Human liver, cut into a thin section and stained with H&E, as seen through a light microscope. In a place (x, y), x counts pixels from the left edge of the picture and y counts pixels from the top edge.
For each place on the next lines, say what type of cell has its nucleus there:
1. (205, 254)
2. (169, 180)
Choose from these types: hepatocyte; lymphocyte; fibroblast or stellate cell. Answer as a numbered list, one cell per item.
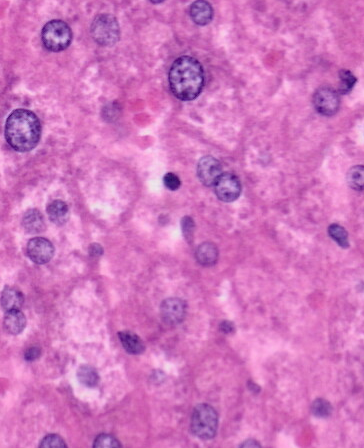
1. hepatocyte
2. lymphocyte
